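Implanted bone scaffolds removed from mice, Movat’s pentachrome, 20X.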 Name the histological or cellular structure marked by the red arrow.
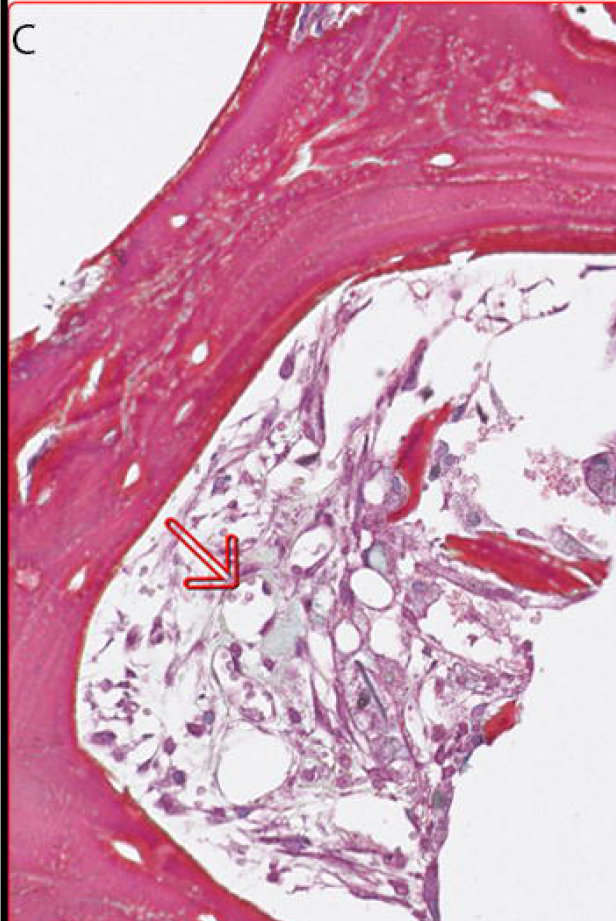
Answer: Small vessels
